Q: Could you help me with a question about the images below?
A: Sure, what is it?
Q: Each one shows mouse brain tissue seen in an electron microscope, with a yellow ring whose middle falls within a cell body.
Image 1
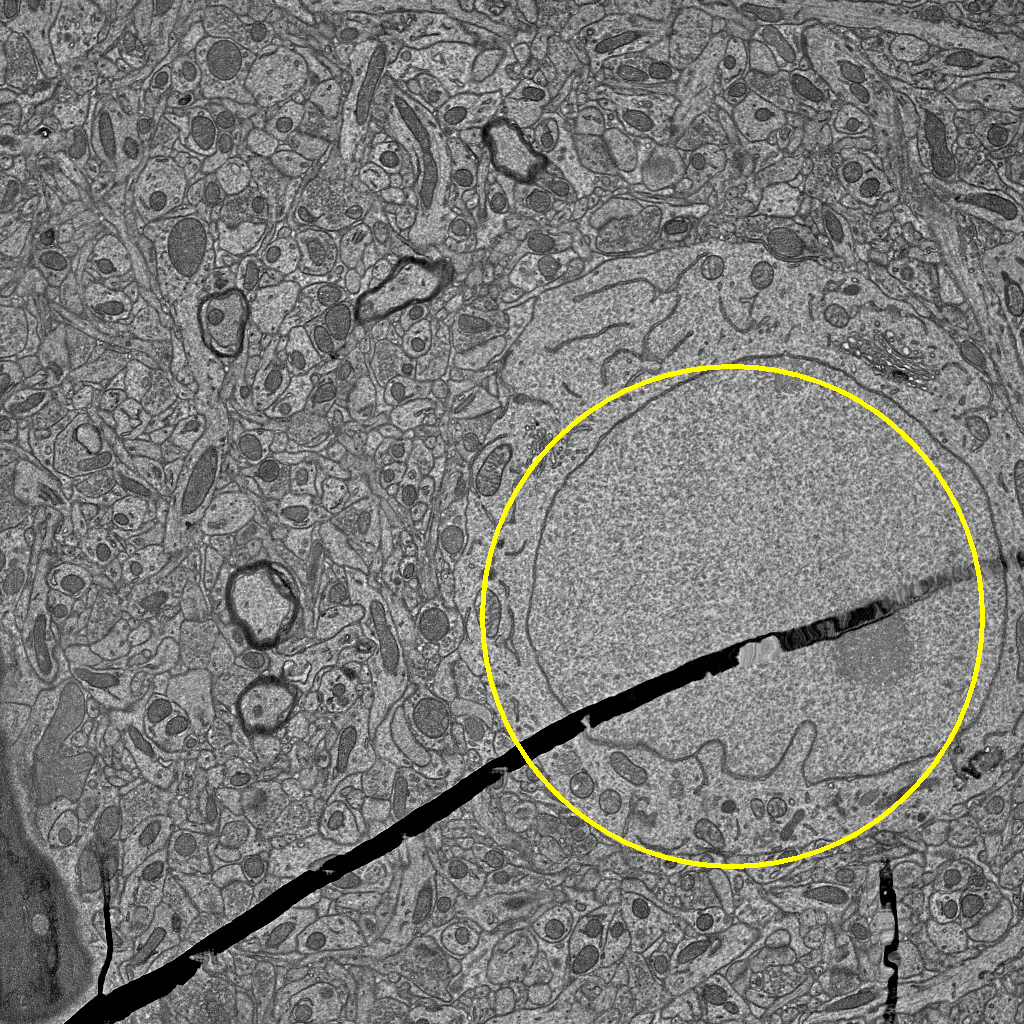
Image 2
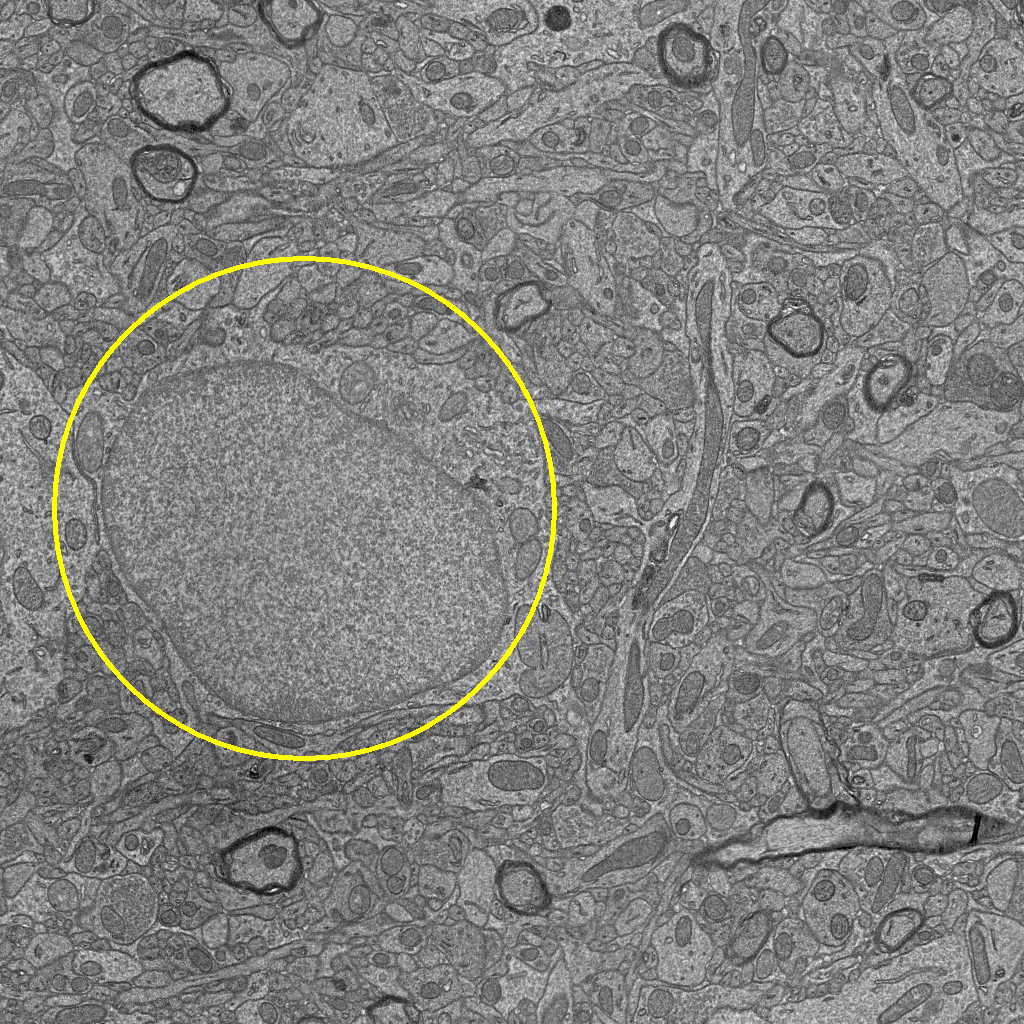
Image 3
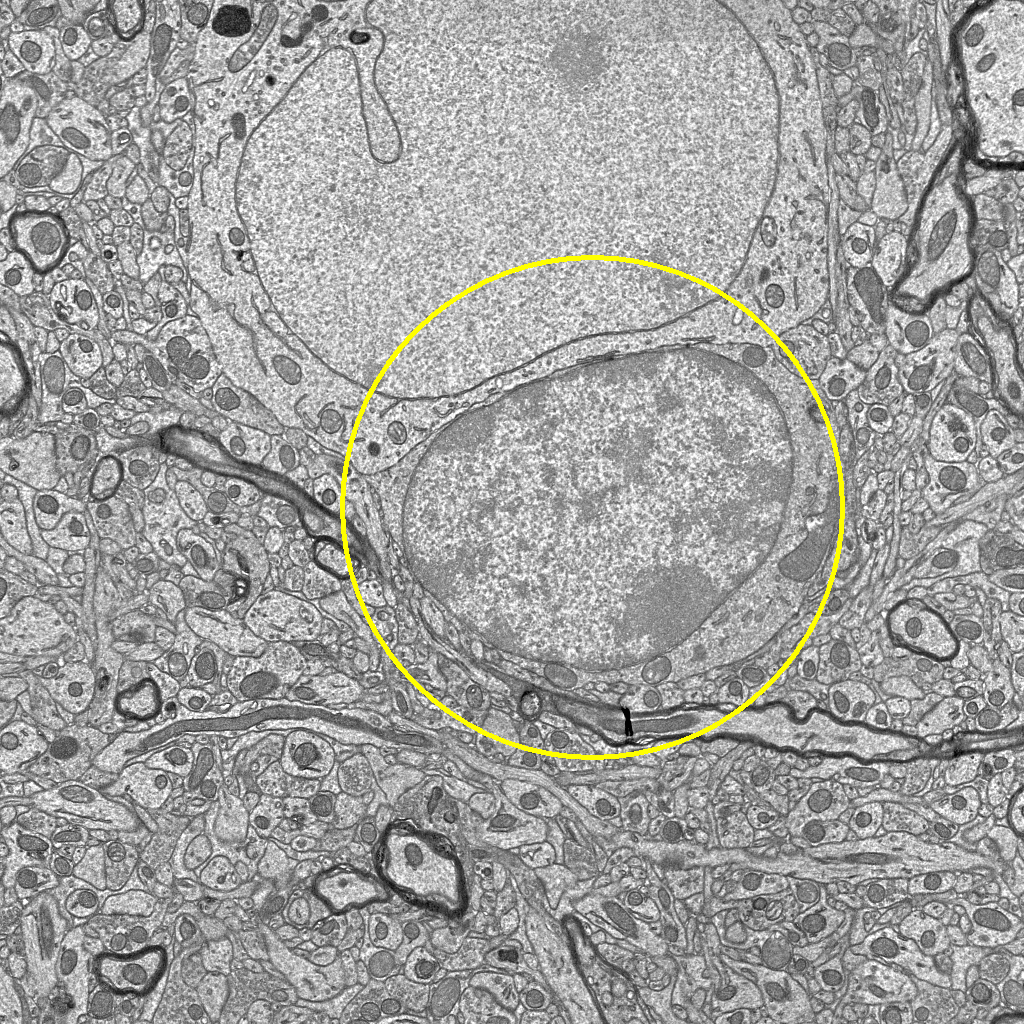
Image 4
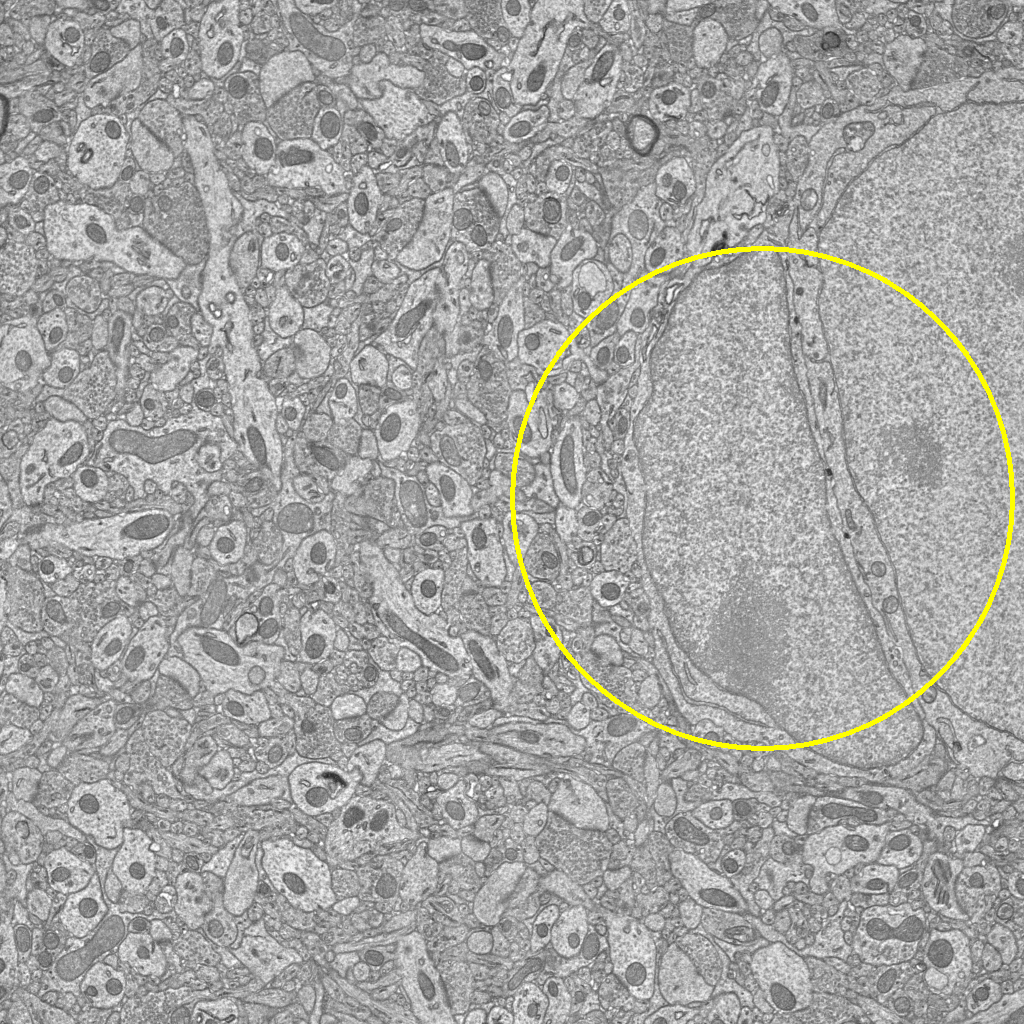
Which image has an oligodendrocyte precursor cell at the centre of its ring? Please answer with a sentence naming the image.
Image 4 has it at the centre of its ring.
